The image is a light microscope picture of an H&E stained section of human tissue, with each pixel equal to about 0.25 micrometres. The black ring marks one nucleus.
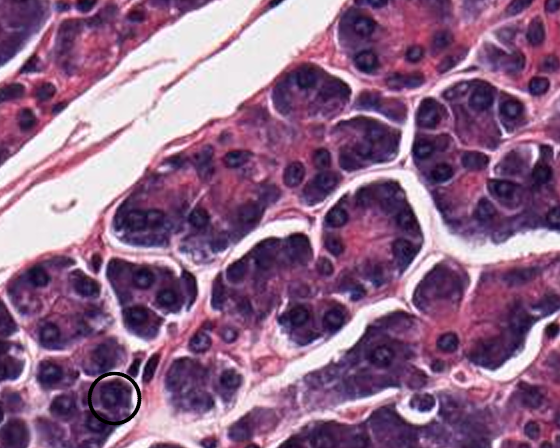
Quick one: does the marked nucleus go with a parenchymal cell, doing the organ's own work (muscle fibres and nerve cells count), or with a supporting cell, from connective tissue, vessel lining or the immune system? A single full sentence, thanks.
In the image the marked nucleus is that of a pancreatic acinar cell, a parenchymal cell.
